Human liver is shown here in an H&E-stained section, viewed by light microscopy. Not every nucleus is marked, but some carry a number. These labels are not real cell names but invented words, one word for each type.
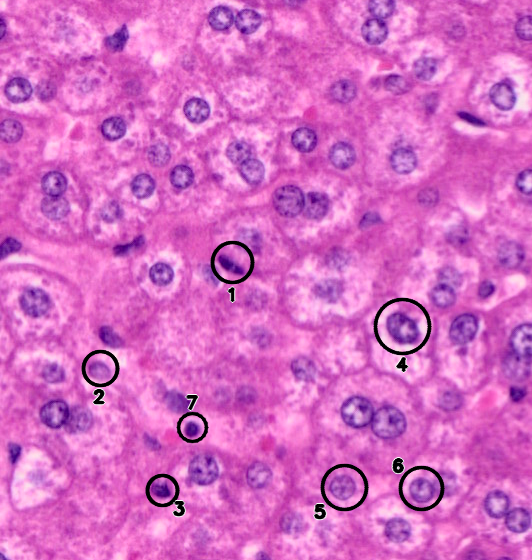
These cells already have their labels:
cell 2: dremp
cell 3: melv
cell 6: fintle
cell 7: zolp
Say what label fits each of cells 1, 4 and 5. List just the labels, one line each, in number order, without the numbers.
melv
fintle
fintle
